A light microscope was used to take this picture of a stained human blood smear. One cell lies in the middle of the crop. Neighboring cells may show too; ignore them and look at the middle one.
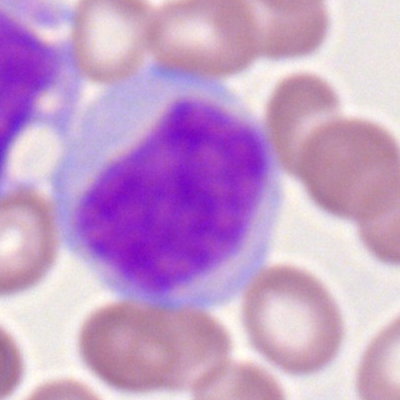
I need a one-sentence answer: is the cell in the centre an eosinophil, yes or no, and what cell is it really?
No, the centred cell is a monocyte, and it is not an eosinophil.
